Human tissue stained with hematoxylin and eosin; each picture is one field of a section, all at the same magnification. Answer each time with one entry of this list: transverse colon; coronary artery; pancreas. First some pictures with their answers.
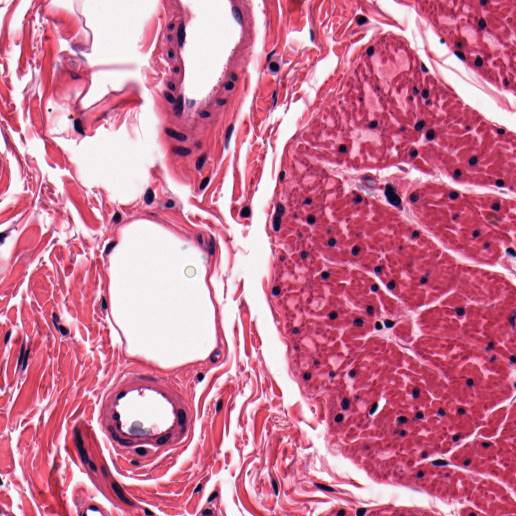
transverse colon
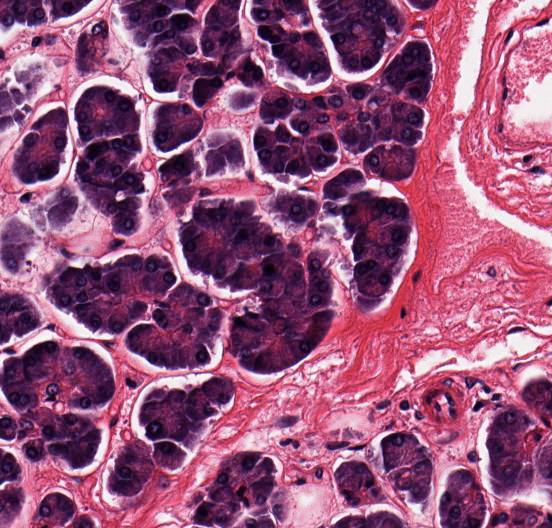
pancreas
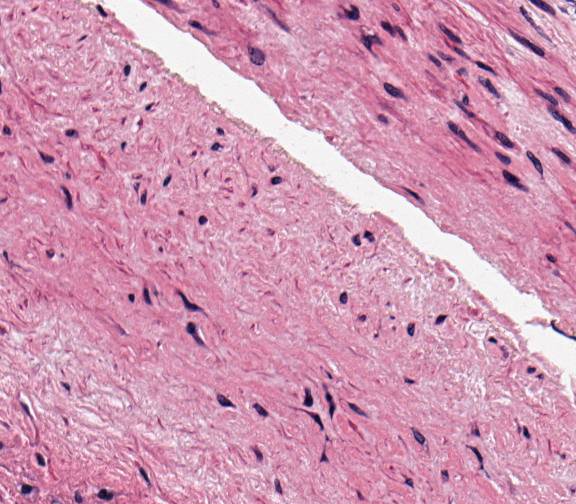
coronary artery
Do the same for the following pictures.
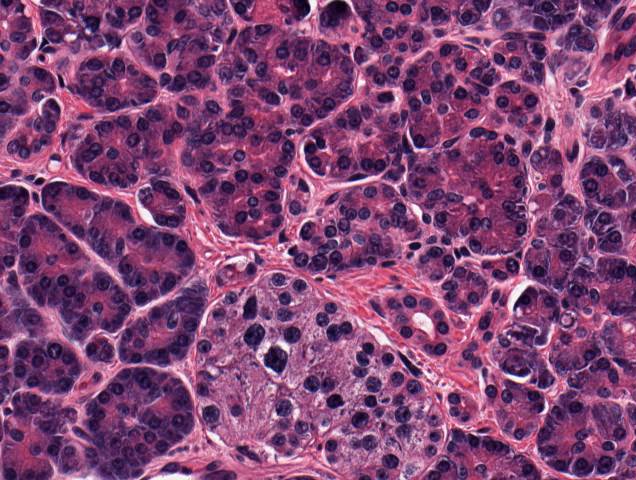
pancreas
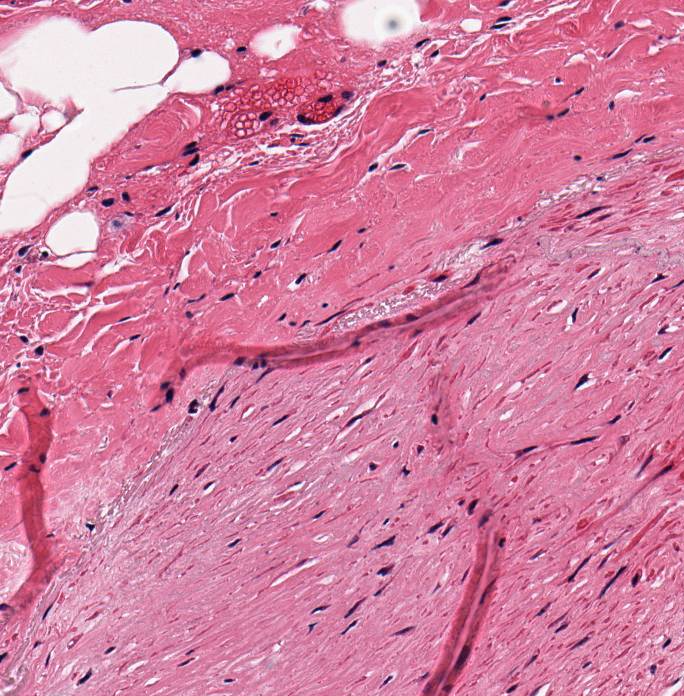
coronary artery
